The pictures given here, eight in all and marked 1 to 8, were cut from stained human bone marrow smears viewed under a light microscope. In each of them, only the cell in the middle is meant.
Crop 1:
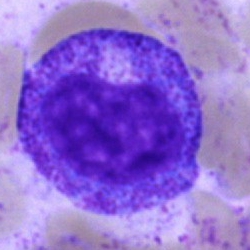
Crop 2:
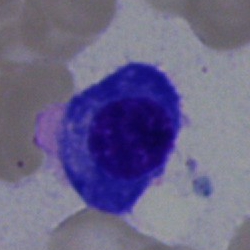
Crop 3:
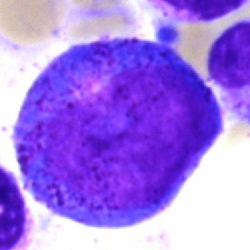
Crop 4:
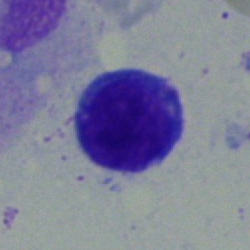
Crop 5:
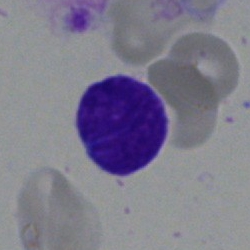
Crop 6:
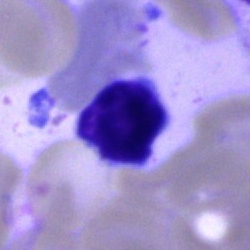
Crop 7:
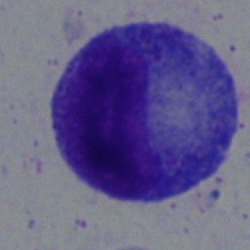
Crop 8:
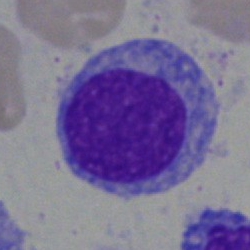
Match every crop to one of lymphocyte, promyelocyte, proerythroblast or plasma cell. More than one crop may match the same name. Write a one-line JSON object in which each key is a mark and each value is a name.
{"1": "promyelocyte", "2": "plasma cell", "3": "promyelocyte", "4": "lymphocyte", "5": "lymphocyte", "6": "lymphocyte", "7": "promyelocyte", "8": "lymphocyte"}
